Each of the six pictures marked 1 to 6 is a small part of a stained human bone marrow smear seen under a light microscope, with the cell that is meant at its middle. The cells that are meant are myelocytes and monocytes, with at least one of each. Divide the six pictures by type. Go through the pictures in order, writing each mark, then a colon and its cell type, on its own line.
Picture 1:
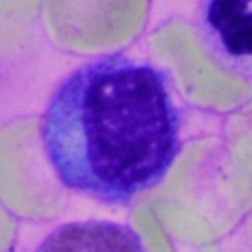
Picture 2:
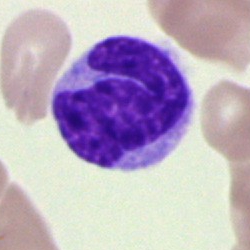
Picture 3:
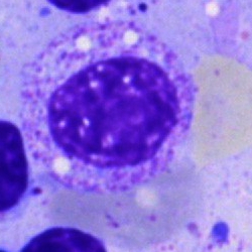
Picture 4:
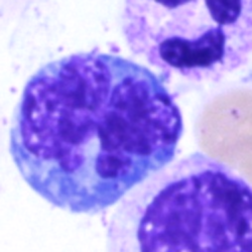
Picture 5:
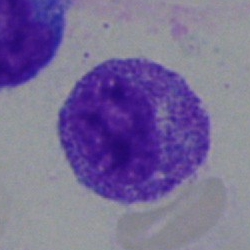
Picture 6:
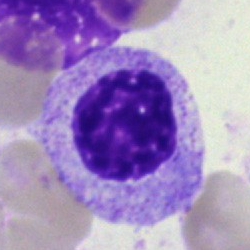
1: myelocyte
2: monocyte
3: myelocyte
4: monocyte
5: myelocyte
6: myelocyte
